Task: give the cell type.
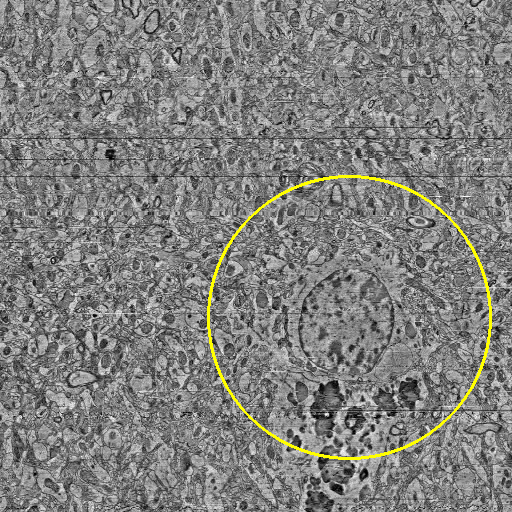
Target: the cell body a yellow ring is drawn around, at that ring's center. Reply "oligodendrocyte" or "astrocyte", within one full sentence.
In this picture, the cell whose body lies at the ring's center is an astrocyte.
